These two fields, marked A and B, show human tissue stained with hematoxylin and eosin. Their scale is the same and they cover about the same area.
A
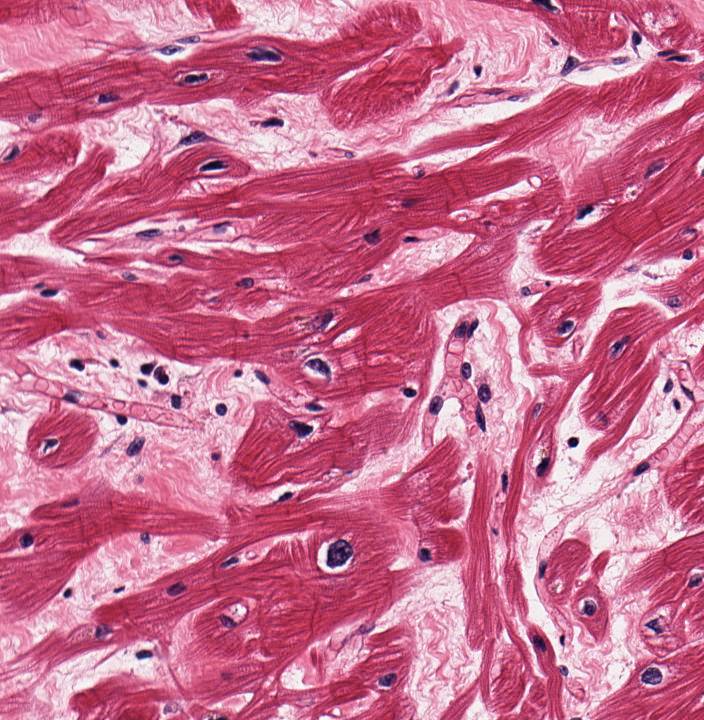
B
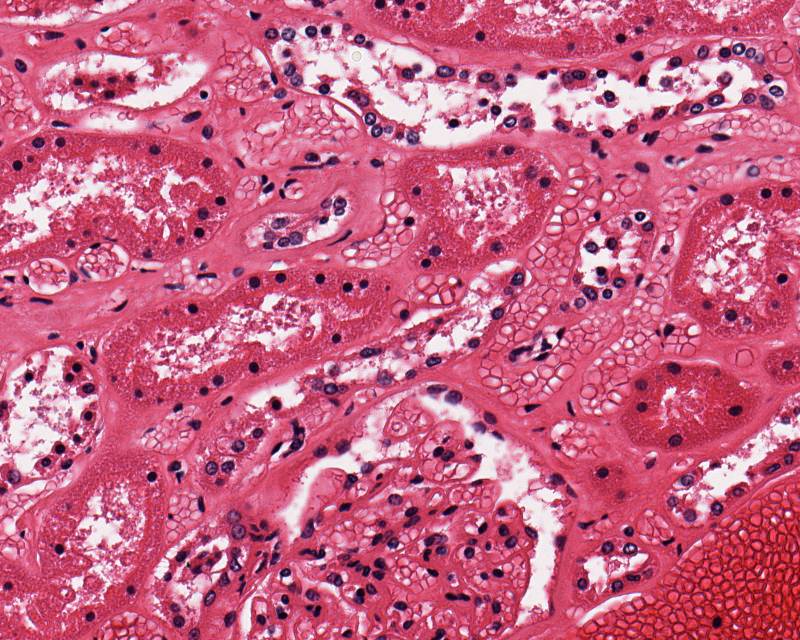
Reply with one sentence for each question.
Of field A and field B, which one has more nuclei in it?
The larger number of nuclei is in field B.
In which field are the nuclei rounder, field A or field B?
It is field B whose nuclei are the rounder.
